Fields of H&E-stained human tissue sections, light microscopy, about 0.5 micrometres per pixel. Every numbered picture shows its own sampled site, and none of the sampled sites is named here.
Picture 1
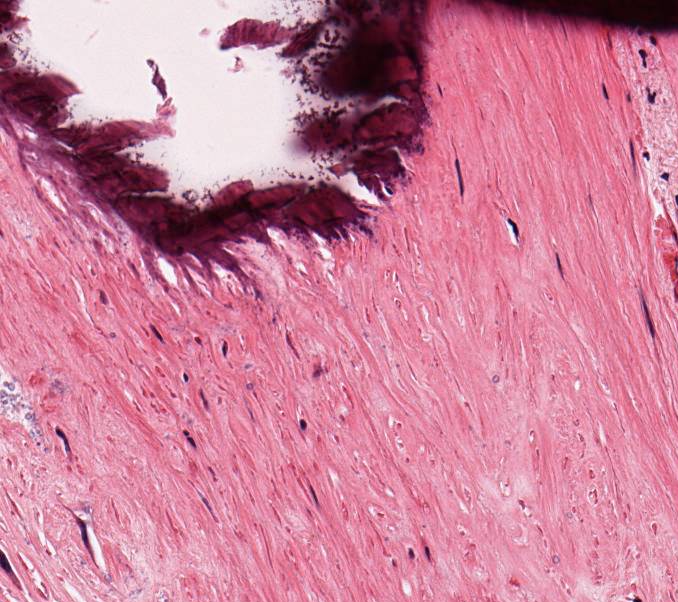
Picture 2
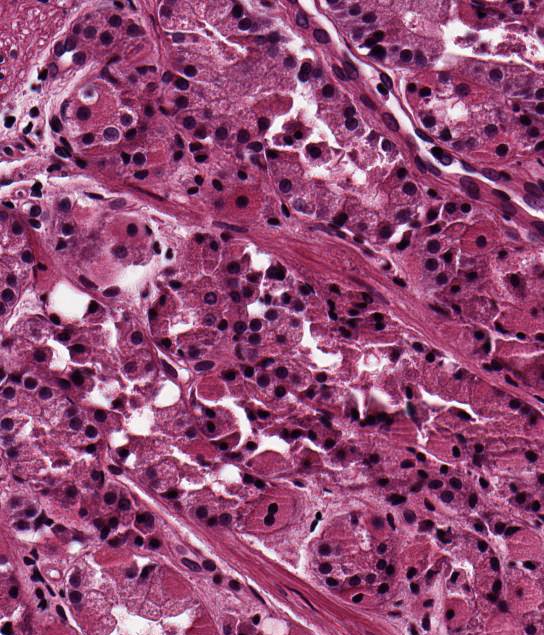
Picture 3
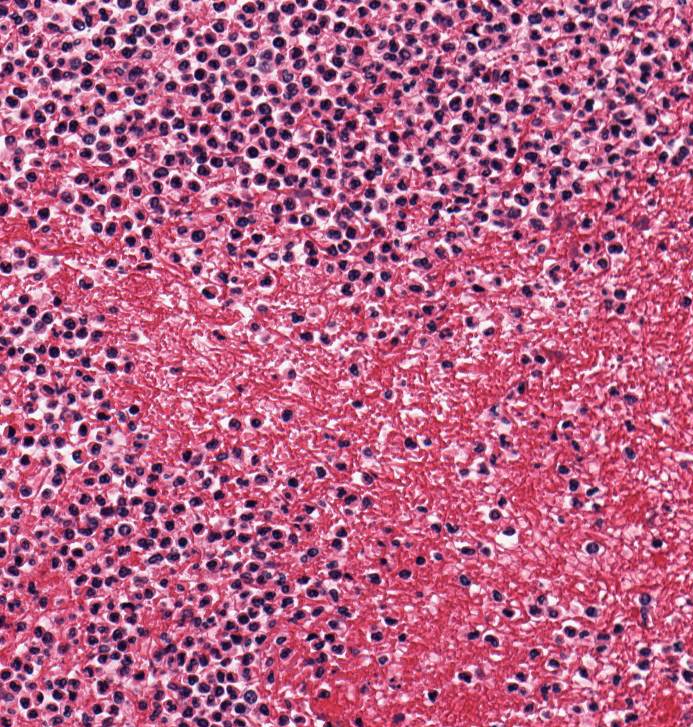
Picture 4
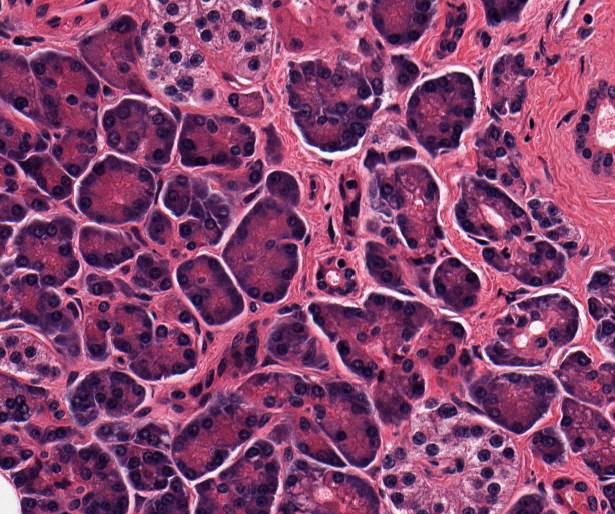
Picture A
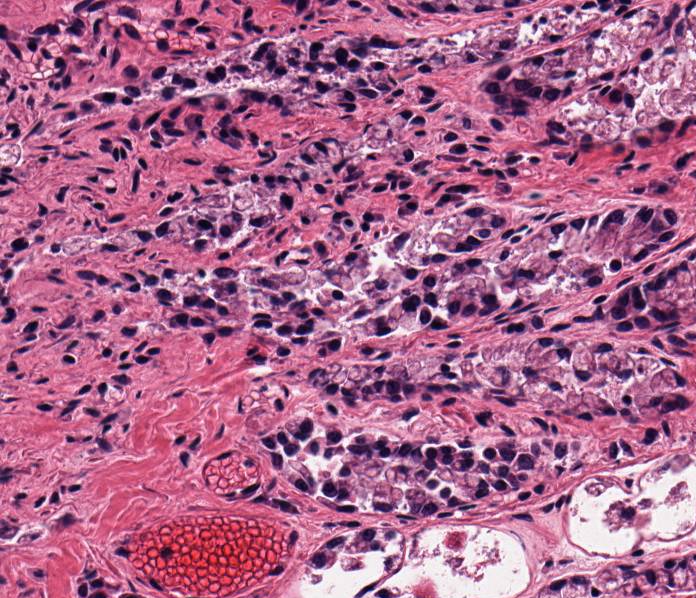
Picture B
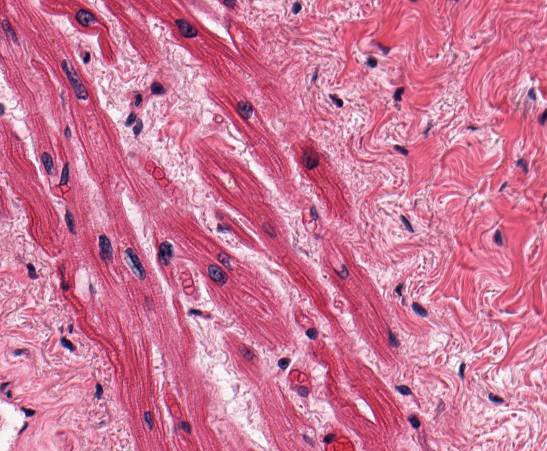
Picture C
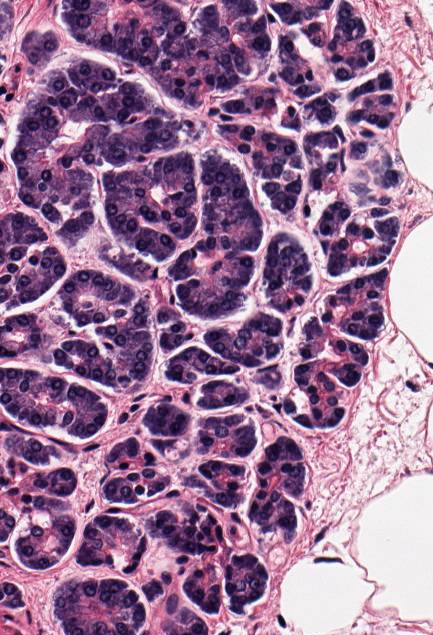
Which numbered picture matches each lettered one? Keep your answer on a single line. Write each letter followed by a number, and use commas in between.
A 2, B 3, C 4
